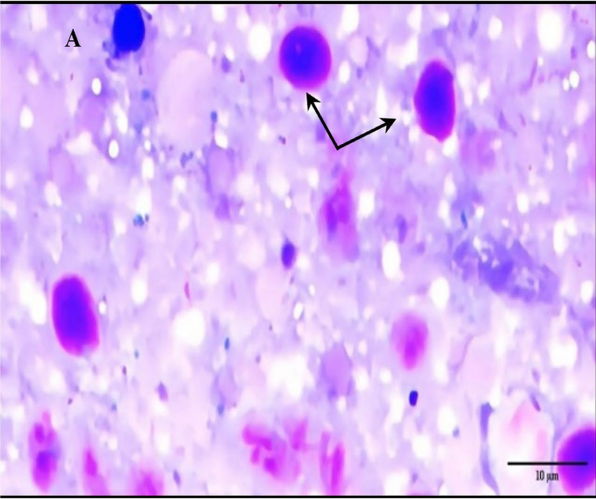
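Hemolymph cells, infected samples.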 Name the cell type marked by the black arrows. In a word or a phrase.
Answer: Prohaemocyte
